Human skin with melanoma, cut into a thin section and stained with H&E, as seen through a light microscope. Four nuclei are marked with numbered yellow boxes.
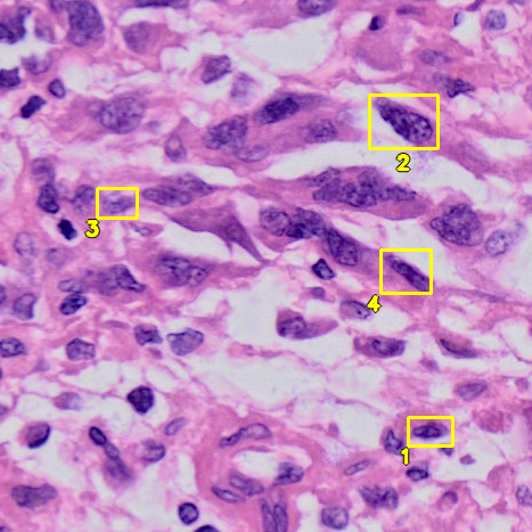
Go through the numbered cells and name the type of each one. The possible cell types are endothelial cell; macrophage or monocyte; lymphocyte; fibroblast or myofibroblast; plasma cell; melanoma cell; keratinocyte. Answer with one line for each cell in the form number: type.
1: macrophage or monocyte
2: melanoma cell
3: melanoma cell
4: melanoma cell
